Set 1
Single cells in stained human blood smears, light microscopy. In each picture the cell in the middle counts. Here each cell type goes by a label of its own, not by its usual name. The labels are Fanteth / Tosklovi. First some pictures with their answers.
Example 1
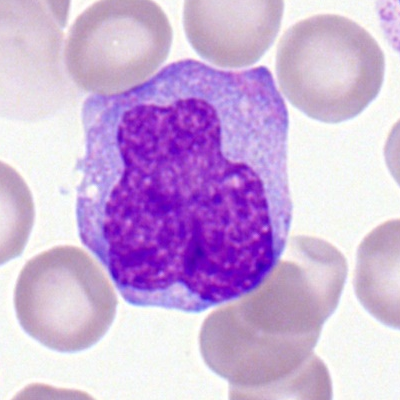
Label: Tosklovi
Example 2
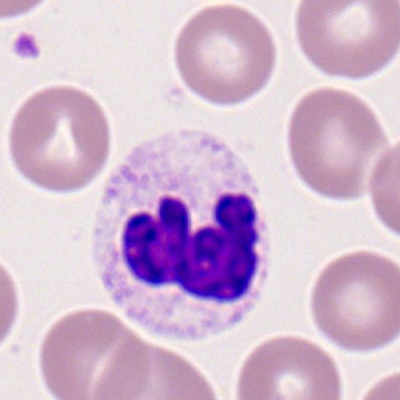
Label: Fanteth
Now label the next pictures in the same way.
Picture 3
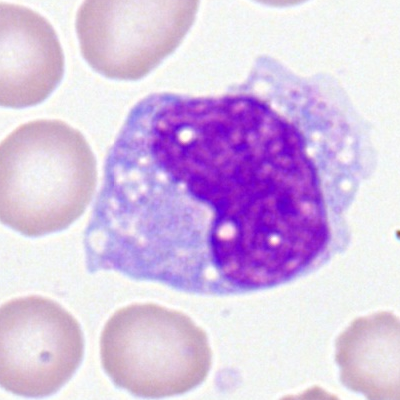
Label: Tosklovi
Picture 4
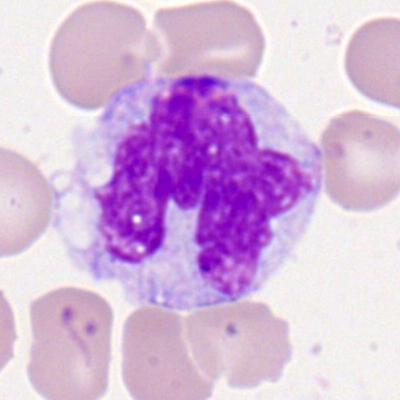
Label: Tosklovi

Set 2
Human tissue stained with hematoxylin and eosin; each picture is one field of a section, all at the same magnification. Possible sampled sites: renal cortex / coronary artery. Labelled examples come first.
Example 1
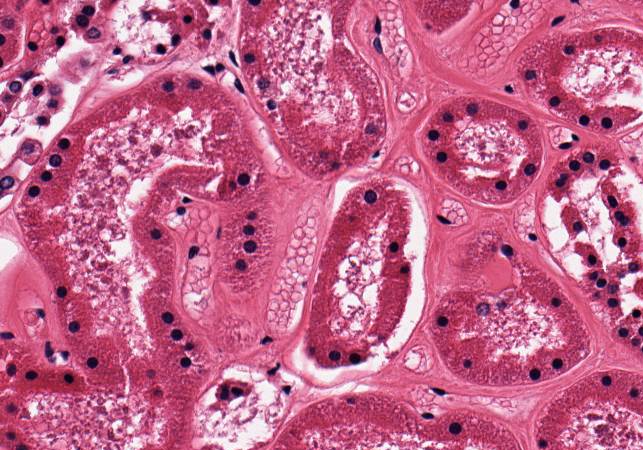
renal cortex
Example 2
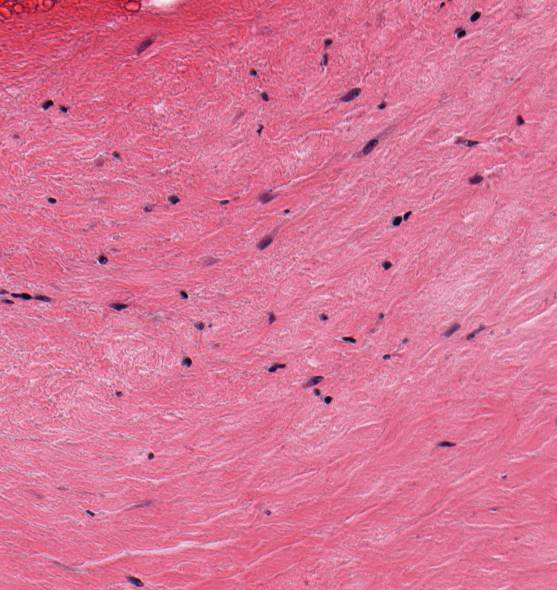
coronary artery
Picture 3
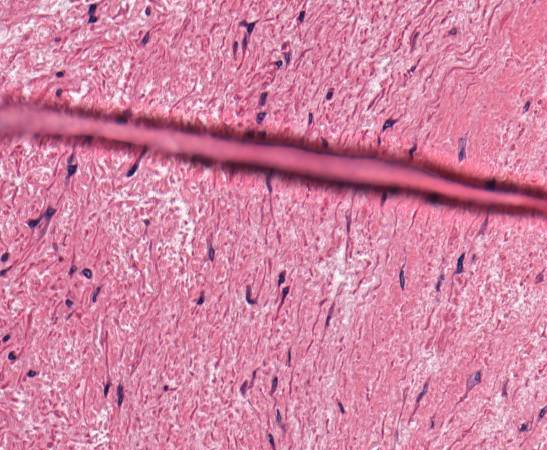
coronary artery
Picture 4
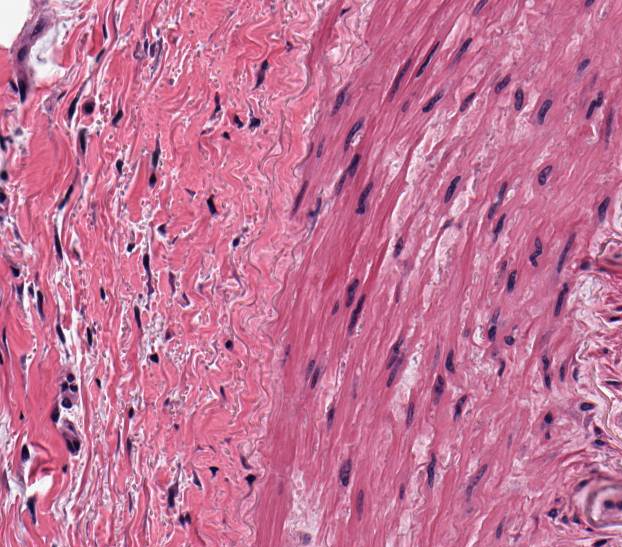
coronary artery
